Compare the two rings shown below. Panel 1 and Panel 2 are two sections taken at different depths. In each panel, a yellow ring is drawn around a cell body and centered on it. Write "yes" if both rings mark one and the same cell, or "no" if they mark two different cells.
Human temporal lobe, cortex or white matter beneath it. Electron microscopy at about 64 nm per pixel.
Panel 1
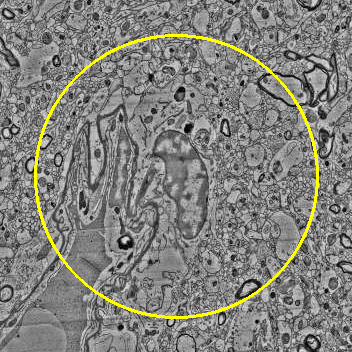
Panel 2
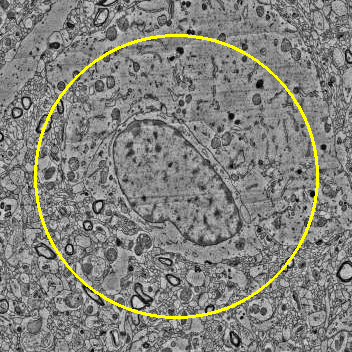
no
